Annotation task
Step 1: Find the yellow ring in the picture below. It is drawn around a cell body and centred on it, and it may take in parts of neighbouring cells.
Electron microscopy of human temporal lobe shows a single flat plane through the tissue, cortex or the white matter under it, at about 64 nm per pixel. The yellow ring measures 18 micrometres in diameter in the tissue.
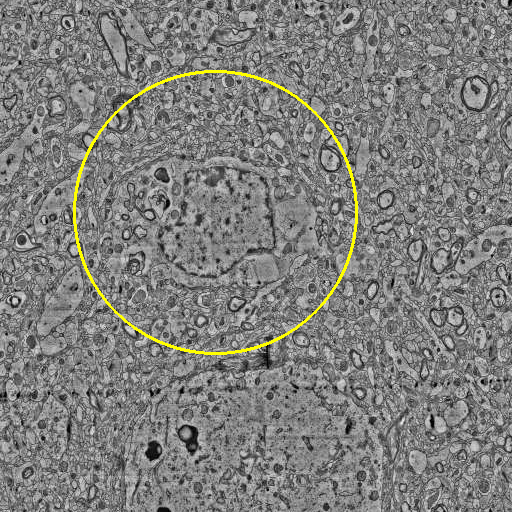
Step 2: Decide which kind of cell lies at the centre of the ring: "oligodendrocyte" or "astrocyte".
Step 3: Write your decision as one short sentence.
The kind of cell at the ring's centre is an astrocyte.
